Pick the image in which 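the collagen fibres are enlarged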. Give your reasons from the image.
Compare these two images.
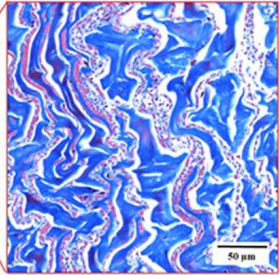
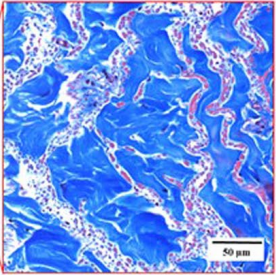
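Second image: the blue fibres form broad, bulky masses with fewer separate layers. First image: the blue fibres are thinner, wavy and arranged in closely overlapping layers. The answer: the second image.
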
